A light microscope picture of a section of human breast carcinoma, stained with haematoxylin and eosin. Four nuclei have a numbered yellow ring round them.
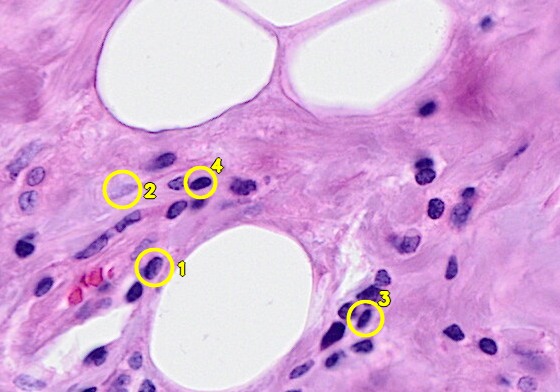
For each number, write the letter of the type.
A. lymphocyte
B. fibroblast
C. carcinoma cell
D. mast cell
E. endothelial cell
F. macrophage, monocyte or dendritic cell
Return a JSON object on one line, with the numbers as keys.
{"1": "A", "2": "B", "3": "A", "4": "A"}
